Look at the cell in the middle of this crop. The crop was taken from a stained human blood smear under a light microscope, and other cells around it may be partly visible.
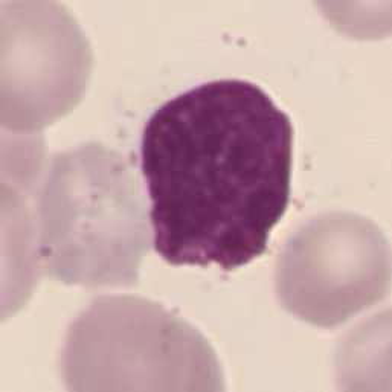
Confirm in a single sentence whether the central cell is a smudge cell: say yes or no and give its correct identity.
Yes, the cell that the crop is centred on is a smudge cell.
